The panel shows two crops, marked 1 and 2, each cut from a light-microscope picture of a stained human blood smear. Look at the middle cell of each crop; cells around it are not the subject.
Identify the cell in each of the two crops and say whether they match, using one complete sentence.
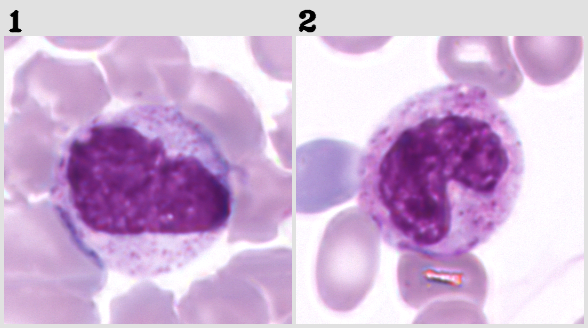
Yes, the cells that the two crops centre on are metamyelocytes.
